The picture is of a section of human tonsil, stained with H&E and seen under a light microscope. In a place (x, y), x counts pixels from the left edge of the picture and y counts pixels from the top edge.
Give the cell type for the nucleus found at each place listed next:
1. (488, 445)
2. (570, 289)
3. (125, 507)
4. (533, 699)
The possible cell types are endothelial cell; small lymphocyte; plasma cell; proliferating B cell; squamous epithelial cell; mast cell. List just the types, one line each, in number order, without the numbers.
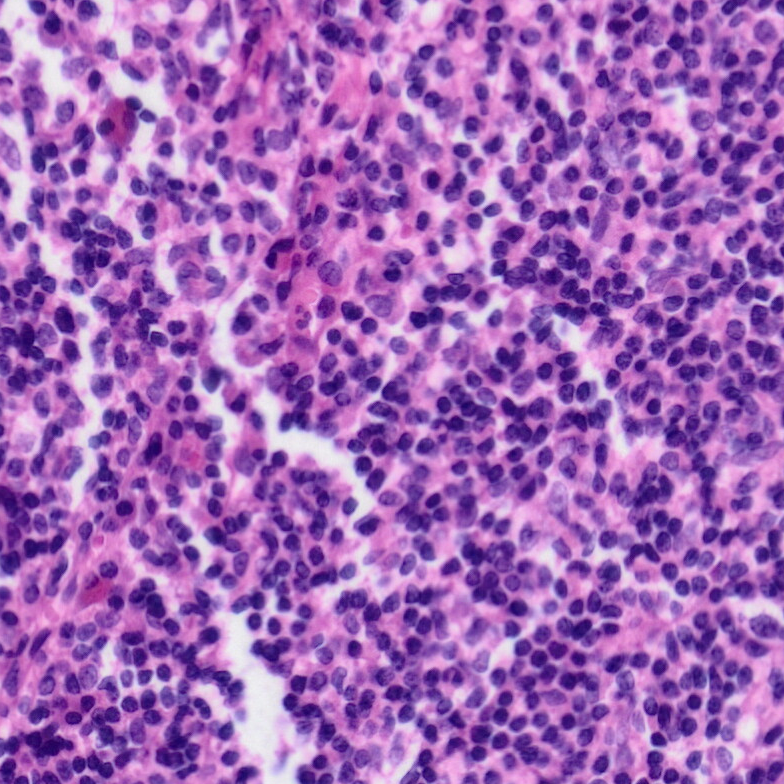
small lymphocyte
small lymphocyte
plasma cell
small lymphocyte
